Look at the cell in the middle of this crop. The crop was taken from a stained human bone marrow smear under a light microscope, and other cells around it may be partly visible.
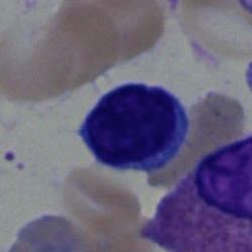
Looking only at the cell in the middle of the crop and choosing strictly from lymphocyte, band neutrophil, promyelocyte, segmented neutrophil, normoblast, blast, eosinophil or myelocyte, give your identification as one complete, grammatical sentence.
At the center of the crop sits a lymphocyte.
